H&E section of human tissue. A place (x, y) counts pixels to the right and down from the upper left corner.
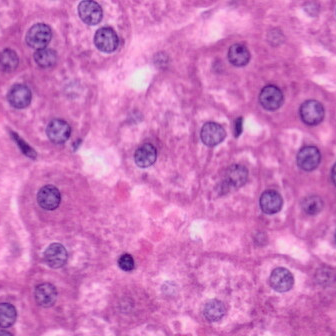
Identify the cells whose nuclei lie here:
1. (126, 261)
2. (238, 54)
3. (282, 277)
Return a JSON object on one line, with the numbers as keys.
{"1": "lymphocyte", "2": "hepatocyte", "3": "hepatocyte"}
